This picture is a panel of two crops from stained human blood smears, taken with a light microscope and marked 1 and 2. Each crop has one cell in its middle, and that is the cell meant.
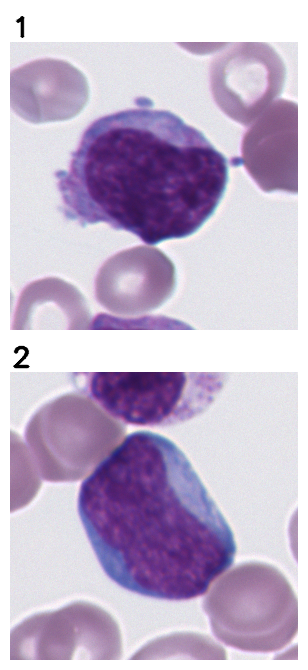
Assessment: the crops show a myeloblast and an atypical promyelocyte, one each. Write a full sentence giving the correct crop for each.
The cell centred in crop 1 is an atypical promyelocyte, and the one centred in crop 2 is a myeloblast.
